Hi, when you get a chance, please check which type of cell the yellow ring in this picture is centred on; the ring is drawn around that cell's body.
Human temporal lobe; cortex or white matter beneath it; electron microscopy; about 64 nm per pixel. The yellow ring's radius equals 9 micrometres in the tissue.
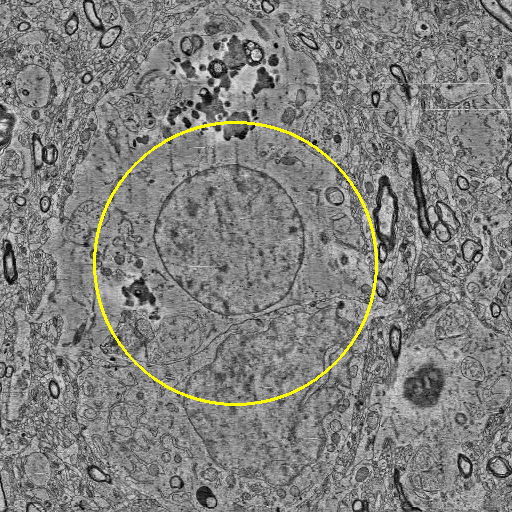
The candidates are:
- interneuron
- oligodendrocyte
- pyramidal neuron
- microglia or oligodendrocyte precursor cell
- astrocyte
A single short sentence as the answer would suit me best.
The ring is drawn around the body of an astrocyte.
